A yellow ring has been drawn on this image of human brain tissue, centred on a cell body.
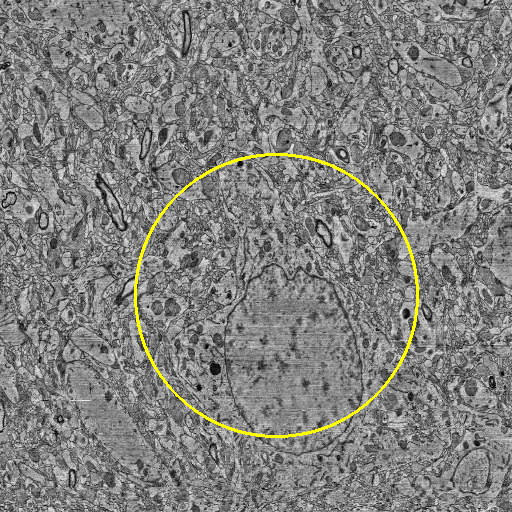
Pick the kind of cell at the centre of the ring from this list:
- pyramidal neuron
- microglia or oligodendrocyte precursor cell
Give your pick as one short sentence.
The centre of the ring holds a pyramidal neuron.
